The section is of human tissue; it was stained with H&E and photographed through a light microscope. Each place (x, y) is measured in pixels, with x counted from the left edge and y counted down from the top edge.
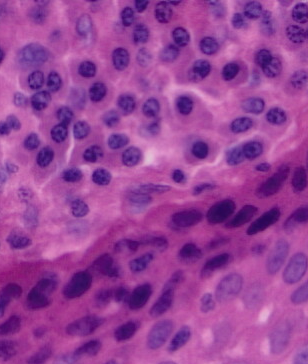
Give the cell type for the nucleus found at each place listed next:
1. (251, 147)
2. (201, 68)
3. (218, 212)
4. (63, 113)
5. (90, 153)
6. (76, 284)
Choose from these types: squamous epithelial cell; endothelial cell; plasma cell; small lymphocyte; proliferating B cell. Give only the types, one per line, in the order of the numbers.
plasma cell
plasma cell
squamous epithelial cell
plasma cell
plasma cell
squamous epithelial cell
